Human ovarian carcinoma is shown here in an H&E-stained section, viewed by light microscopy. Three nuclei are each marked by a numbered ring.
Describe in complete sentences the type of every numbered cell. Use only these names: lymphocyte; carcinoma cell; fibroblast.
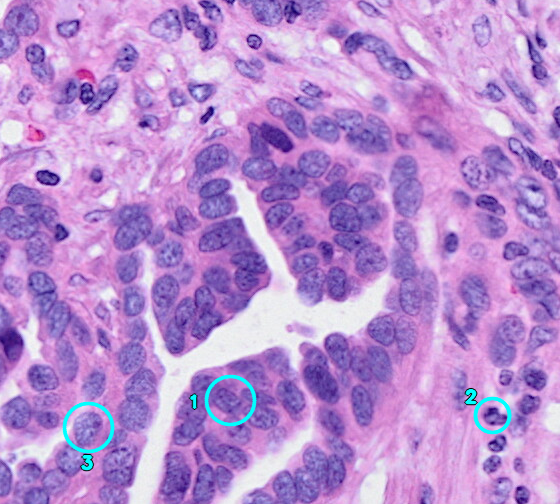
Cells 1 and 3 are carcinoma cells. Cell 2 is a lymphocyte.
